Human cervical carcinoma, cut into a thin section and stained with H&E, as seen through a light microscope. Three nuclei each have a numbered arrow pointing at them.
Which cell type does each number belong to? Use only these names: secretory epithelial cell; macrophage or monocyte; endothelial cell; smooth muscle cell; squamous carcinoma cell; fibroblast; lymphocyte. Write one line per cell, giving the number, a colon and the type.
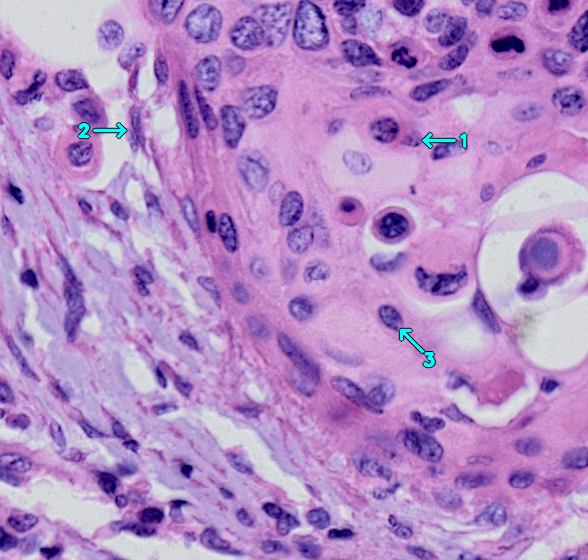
1: squamous carcinoma cell
2: fibroblast
3: squamous carcinoma cell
